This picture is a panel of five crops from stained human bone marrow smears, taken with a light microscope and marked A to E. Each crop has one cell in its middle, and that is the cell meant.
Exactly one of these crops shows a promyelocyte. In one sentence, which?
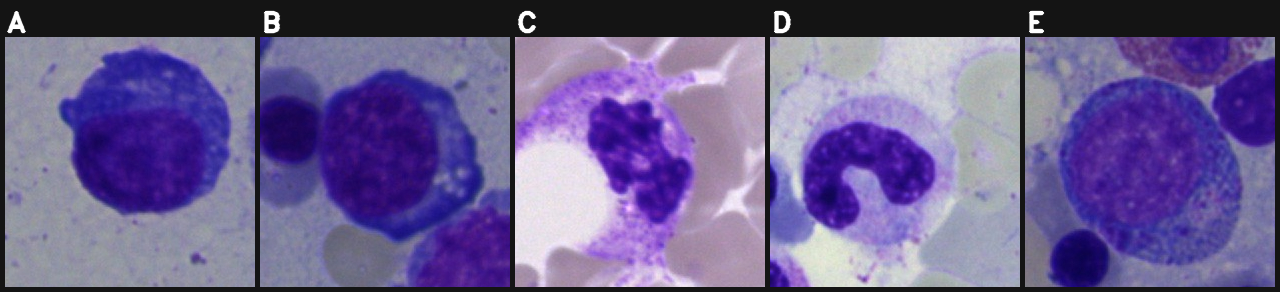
Among the crops provided, a promyelocyte occupies the center of crop E.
